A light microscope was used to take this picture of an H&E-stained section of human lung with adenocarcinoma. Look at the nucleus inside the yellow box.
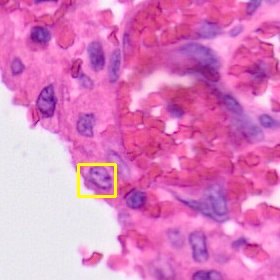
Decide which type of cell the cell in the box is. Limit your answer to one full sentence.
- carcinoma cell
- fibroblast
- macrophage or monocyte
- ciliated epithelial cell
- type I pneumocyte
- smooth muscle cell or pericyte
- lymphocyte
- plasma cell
Just put down that the cell in the box is a macrophage or monocyte.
